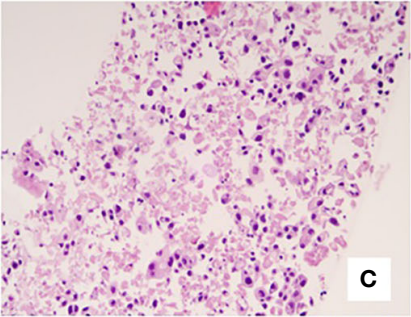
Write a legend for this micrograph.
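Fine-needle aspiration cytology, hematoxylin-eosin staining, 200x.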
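The cells have dark purple, hyperchromatic nuclei that vary considerably in size, with some clearly enlarged. The cells do not form orderly sheets but lie singly or in small loose groups.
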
